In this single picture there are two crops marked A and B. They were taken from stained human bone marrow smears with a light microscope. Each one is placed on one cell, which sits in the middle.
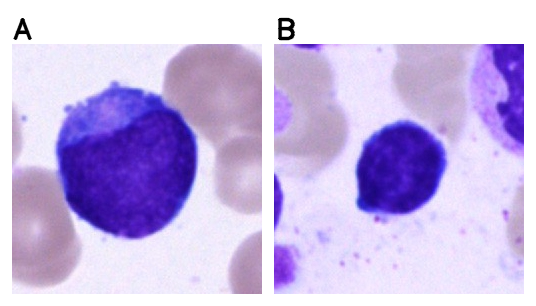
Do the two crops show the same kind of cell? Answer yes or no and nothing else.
no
